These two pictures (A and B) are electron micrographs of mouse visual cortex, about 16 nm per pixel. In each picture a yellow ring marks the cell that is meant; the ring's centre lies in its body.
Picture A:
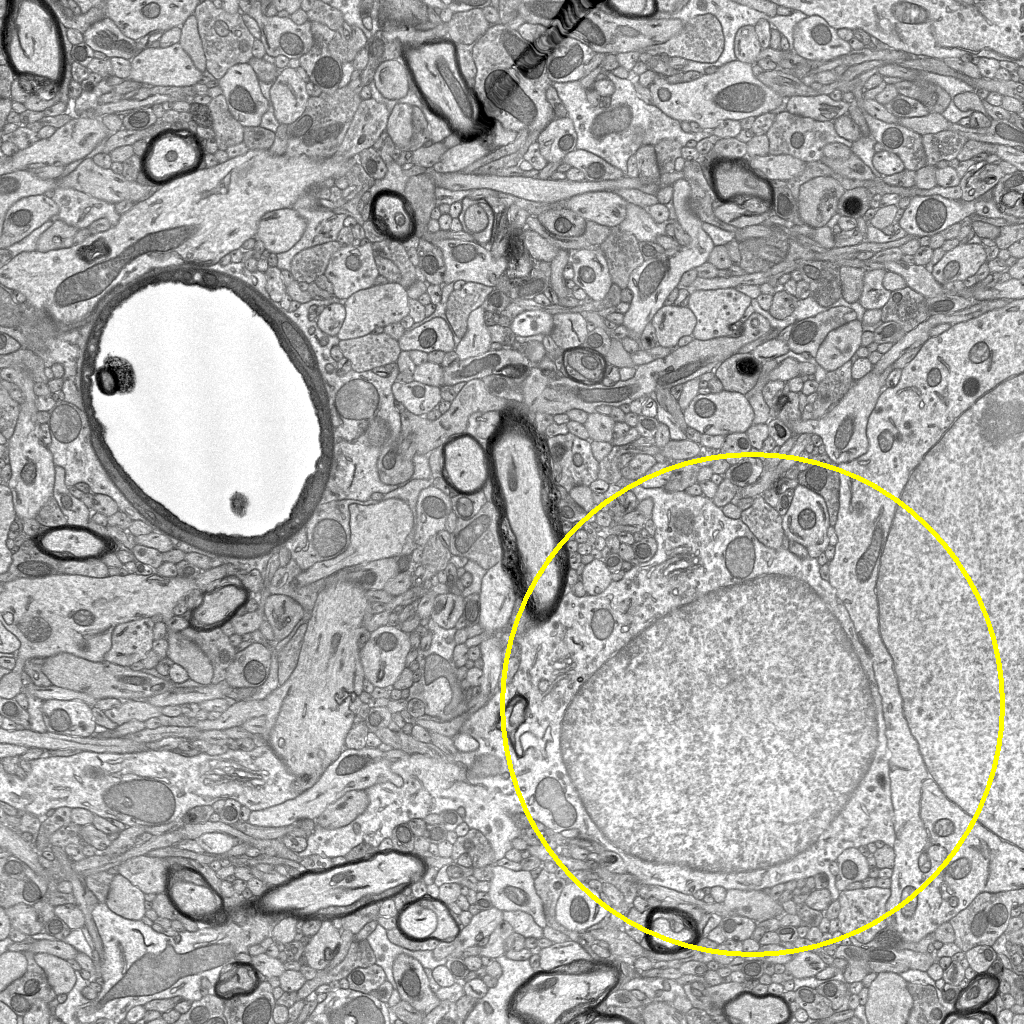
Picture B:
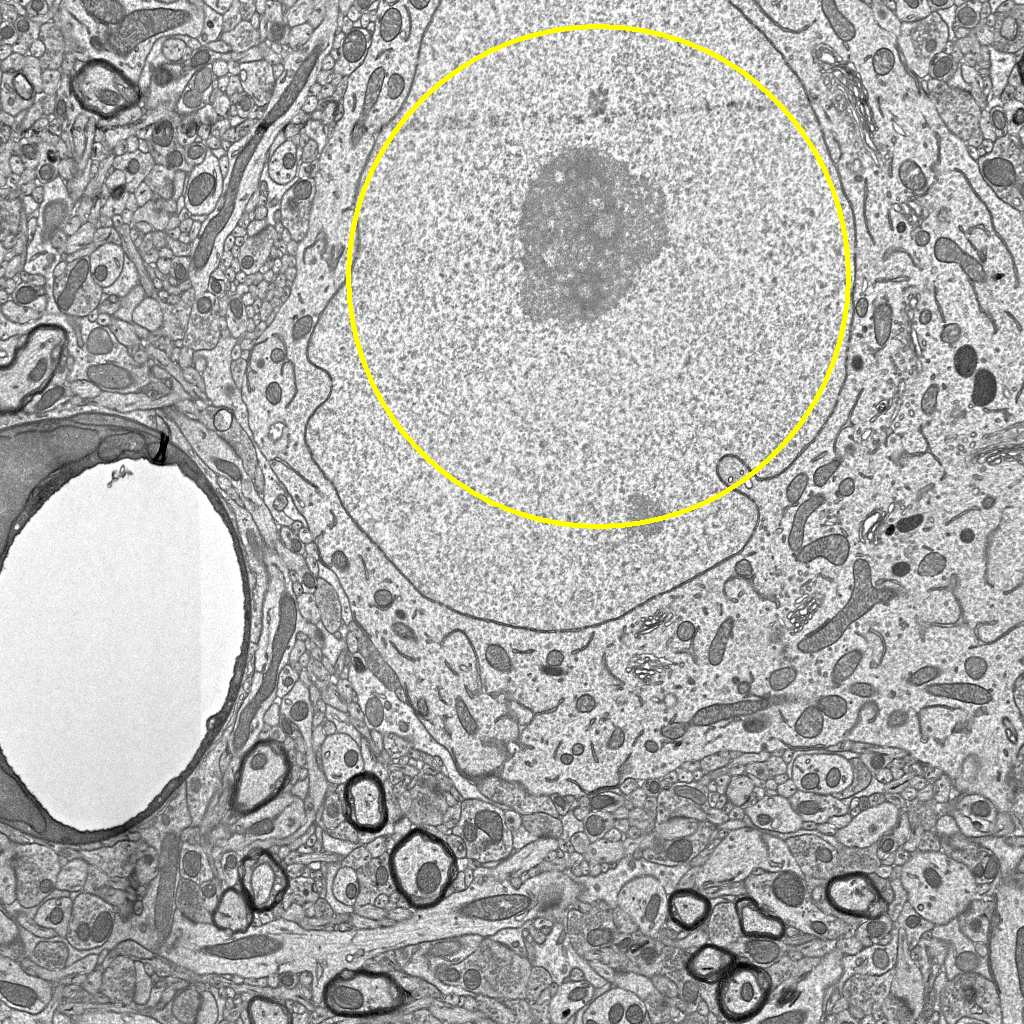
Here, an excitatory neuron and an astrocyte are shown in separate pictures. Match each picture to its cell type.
It is picture A that shows an astrocyte, and picture B that shows an excitatory neuron.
